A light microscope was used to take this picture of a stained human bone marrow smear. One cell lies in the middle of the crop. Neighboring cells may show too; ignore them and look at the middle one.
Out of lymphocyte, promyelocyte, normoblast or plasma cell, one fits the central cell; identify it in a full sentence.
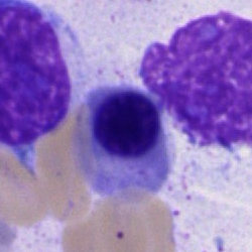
At the crop's centre, the cell is a normoblast.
